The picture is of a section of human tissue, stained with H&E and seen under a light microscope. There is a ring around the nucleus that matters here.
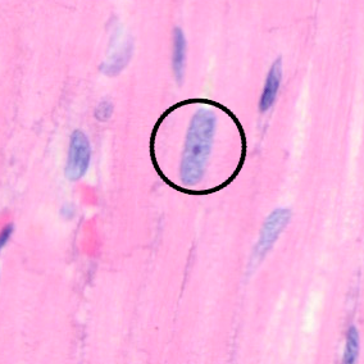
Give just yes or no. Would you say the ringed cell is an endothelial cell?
no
